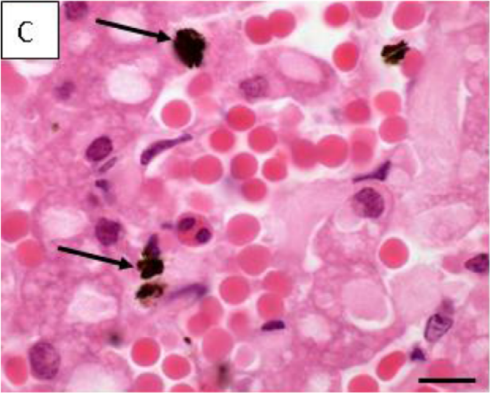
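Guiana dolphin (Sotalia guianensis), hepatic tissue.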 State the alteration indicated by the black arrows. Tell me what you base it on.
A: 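The arrows point to large, dense black-brown clumps. The clumps sit at the edge of a channel filled with red blood cells.
Agglomerated dark deposits.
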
